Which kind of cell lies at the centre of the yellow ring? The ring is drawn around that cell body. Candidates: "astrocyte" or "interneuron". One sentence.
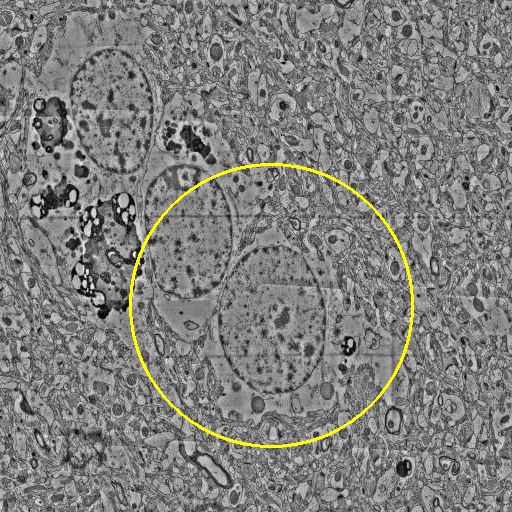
Lying at the centre of the ring is an astrocyte.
